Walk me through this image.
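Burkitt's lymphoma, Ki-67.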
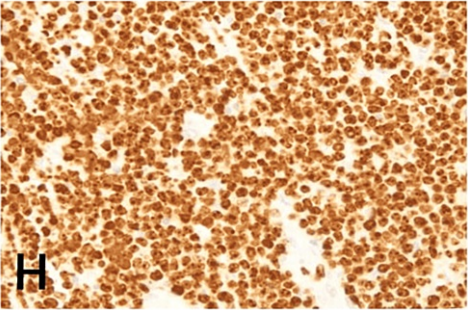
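The field shows densely packed round nuclei of tumor cells, nearly all of them stained deep brown. Hardly any blue unstained nucleus can be found among them. The cells are of similar size and lie in a continuous sheet broken only by small pale gaps.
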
